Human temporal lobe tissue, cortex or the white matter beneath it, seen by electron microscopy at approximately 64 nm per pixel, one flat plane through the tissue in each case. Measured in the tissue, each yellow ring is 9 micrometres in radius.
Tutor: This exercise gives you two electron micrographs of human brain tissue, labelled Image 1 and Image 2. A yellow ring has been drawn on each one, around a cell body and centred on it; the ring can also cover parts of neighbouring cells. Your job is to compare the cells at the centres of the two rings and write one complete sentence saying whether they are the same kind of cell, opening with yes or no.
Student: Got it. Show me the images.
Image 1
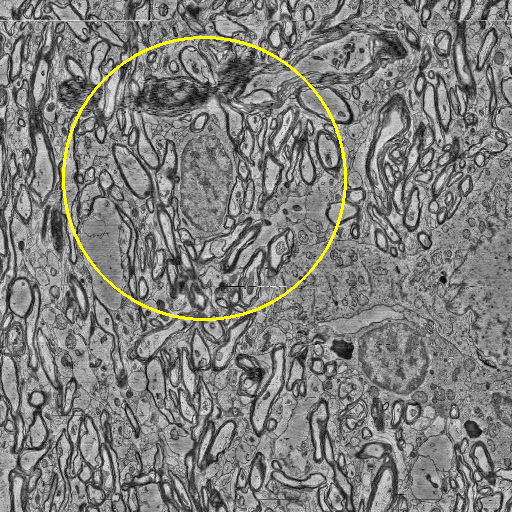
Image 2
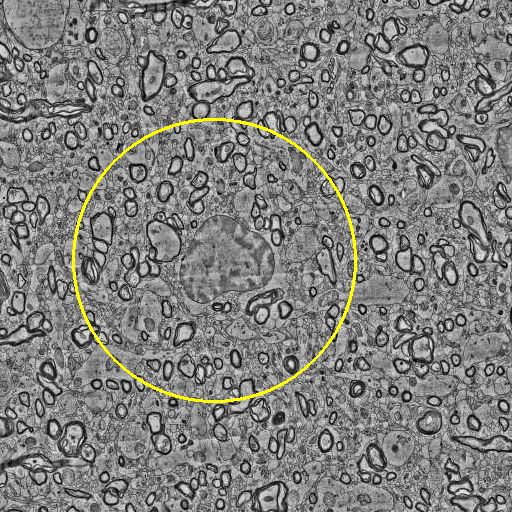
No, the two cells belong to two kinds.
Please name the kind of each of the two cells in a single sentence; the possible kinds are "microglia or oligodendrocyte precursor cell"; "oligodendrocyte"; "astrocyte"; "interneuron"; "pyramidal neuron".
In the first picture the ring is centred on an oligodendrocyte, and in the second on a microglial cell or oligodendrocyte precursor cell.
